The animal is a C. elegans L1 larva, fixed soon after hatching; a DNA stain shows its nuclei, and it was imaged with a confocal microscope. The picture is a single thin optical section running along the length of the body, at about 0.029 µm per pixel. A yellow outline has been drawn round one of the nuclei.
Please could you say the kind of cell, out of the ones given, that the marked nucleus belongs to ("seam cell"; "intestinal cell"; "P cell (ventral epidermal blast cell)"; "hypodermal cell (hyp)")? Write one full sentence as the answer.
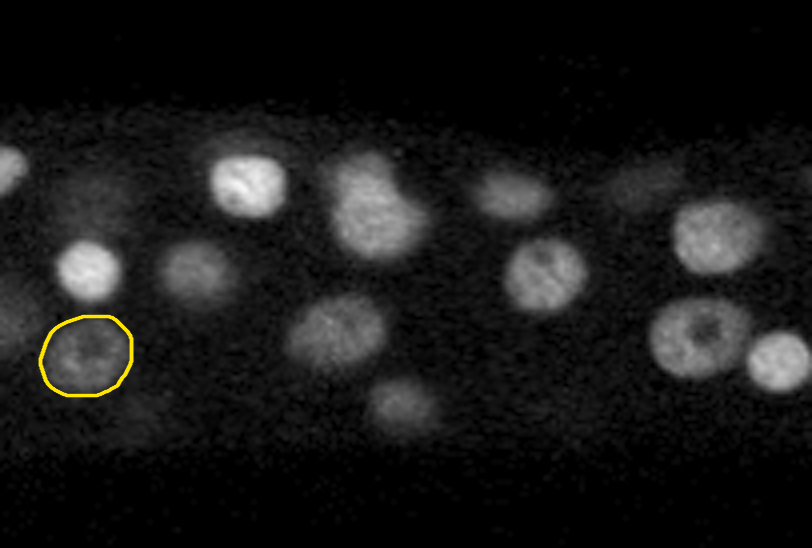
The marked cell is an intestinal cell.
